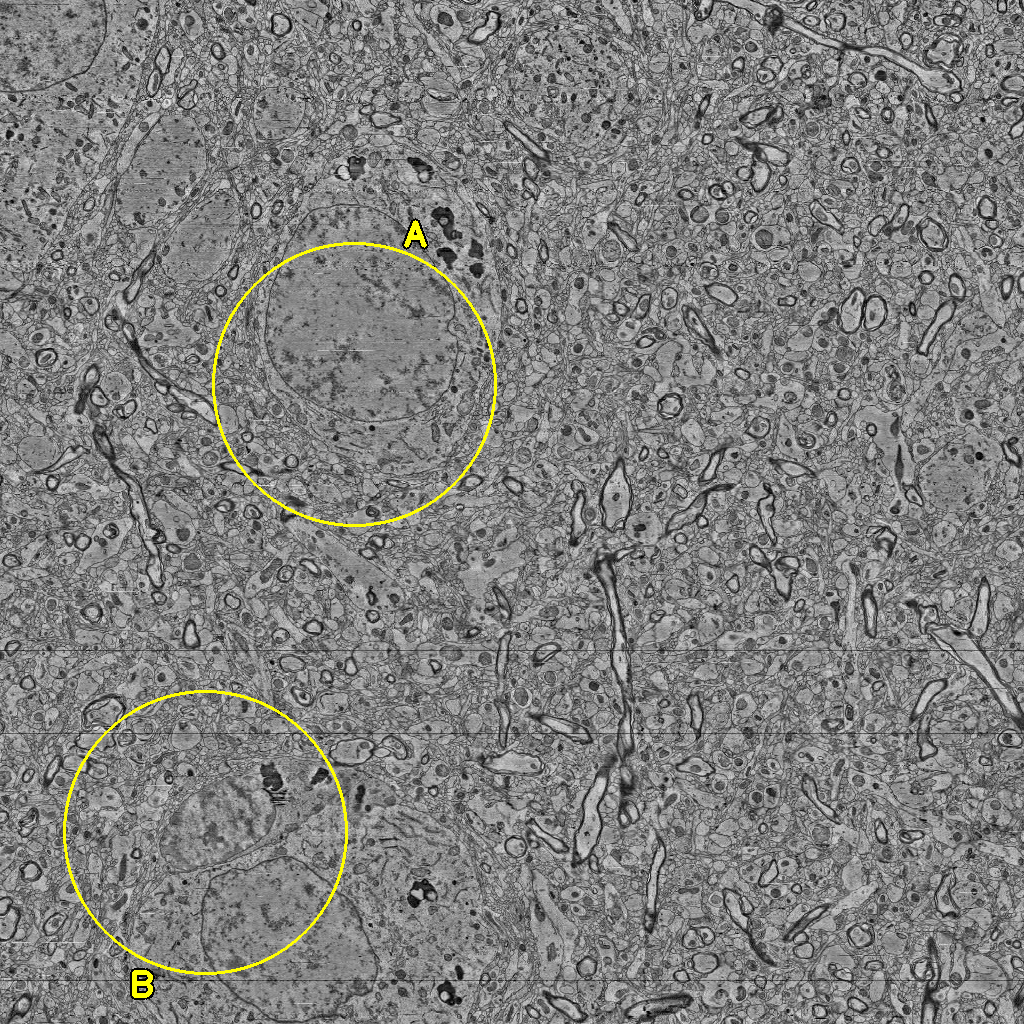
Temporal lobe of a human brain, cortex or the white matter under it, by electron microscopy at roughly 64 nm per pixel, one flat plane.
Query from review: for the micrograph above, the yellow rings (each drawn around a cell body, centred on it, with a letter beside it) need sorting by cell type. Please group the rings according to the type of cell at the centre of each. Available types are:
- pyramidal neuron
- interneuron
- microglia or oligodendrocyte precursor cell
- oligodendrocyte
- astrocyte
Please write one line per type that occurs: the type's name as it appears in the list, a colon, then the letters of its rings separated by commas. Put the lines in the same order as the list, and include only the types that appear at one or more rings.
pyramidal neuron: A
oligodendrocyte: B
